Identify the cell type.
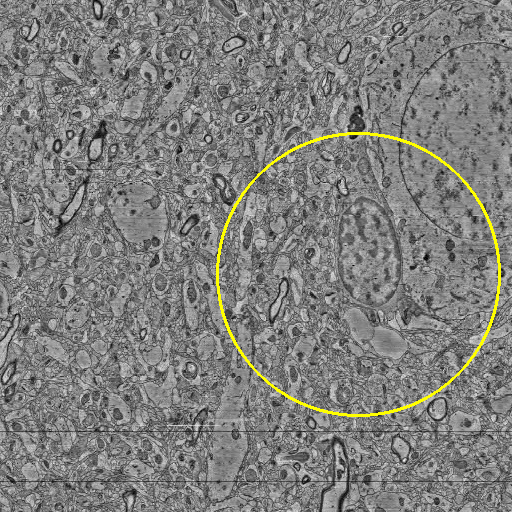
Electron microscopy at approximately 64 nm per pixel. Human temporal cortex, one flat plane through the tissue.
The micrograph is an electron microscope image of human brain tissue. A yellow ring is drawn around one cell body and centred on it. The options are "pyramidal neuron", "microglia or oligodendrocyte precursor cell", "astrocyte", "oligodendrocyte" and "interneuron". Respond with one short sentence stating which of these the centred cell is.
The cell body in the ring belongs to an oligodendrocyte.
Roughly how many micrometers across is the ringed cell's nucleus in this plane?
About 7 by 4 micrometres in this plane; clearly longer than it is wide.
